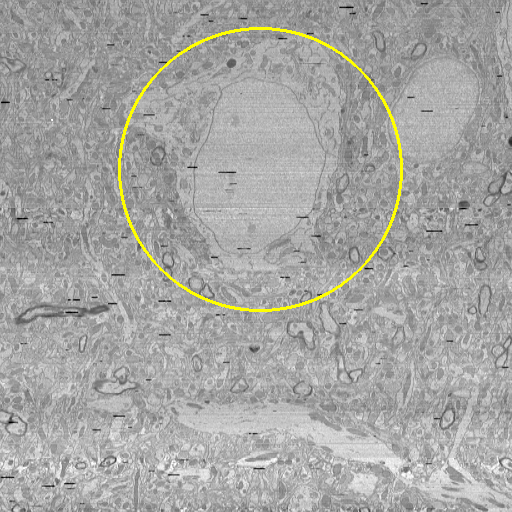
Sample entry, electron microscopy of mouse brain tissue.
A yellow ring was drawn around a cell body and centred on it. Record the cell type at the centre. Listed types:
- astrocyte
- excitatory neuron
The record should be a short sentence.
The cell at the ring's centre is an excitatory neuron.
